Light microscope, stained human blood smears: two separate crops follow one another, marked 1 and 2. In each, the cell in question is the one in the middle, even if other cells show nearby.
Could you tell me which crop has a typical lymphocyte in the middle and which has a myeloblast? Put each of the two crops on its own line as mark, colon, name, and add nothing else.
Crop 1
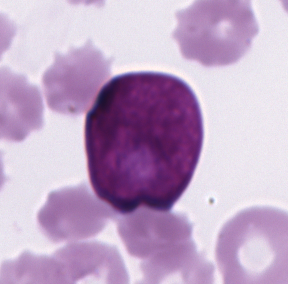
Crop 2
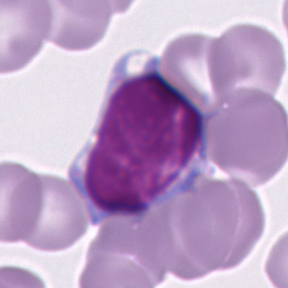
1: myeloblast
2: typical lymphocyte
